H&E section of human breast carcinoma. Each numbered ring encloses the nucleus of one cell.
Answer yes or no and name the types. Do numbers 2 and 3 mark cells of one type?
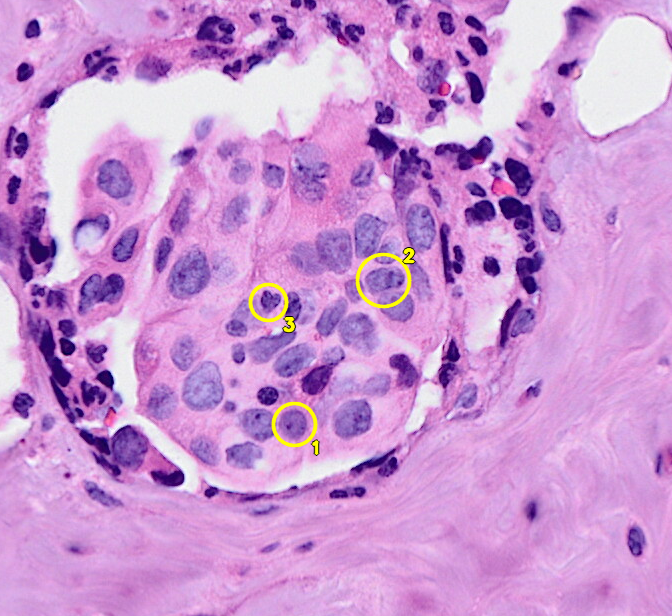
No, listen: cell 2 is a carcinoma cell and cell 3 is a lymphocyte.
